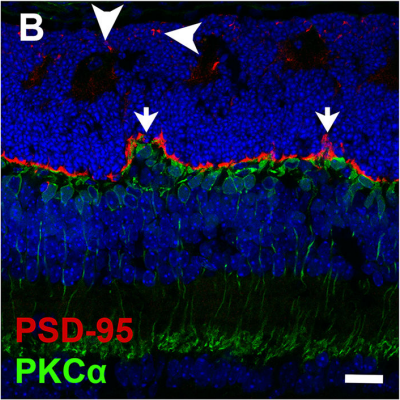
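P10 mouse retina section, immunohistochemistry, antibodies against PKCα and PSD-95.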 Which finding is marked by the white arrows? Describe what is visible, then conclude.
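The red band bulges up into the outer nuclear layer where the arrows point. Green labelled cell parts follow these bulges upward.
Disruptions.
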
